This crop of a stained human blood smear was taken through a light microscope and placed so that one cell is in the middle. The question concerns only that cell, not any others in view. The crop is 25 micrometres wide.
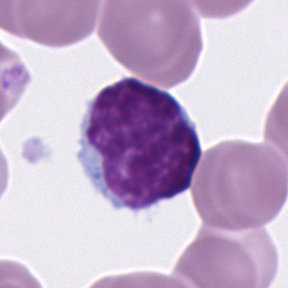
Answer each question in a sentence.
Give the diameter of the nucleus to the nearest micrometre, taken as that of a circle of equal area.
The nucleus is about 10 micrometres across.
